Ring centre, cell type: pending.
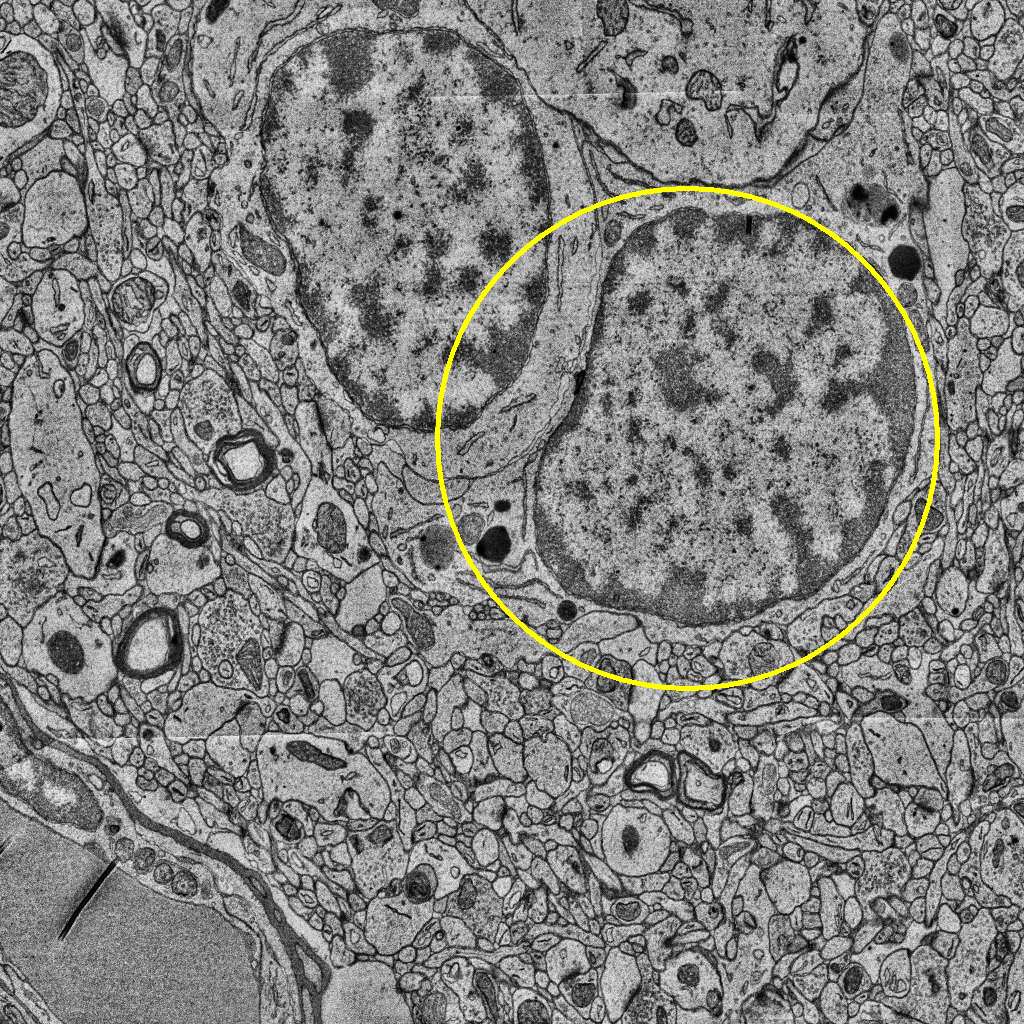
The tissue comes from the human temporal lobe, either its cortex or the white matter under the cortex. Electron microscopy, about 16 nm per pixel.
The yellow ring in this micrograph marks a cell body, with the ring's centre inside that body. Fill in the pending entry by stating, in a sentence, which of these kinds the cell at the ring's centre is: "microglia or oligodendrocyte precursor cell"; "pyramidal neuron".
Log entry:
The cell at the ring's centre is recorded as a microglial cell or oligodendrocyte precursor cell.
